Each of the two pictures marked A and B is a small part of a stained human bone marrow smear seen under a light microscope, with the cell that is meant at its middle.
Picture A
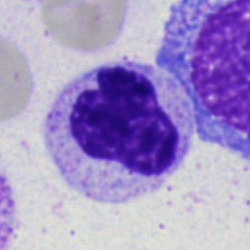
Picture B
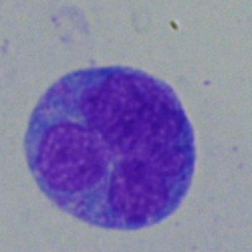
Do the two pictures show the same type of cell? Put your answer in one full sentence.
No. Picture A shows a band neutrophil, but picture B shows a monocyte.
